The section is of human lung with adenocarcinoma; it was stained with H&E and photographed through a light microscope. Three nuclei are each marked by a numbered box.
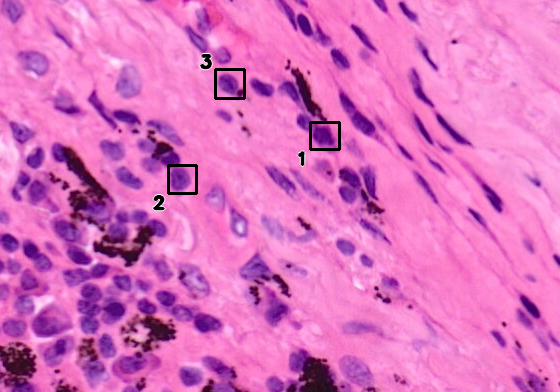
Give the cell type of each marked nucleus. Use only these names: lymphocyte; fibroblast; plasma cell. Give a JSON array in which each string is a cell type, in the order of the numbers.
["plasma cell", "lymphocyte", "lymphocyte"]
